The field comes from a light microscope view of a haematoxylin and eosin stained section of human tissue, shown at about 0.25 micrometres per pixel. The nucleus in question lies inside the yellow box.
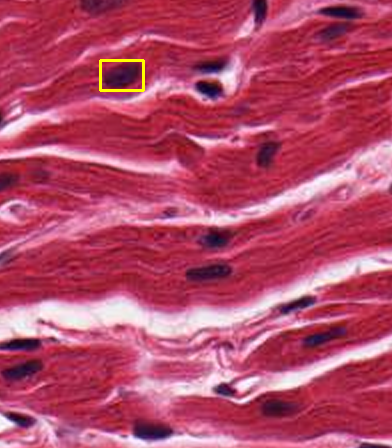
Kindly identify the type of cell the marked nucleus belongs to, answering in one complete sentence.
In the section shown, the marked nucleus belongs to a cardiomyocyte.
